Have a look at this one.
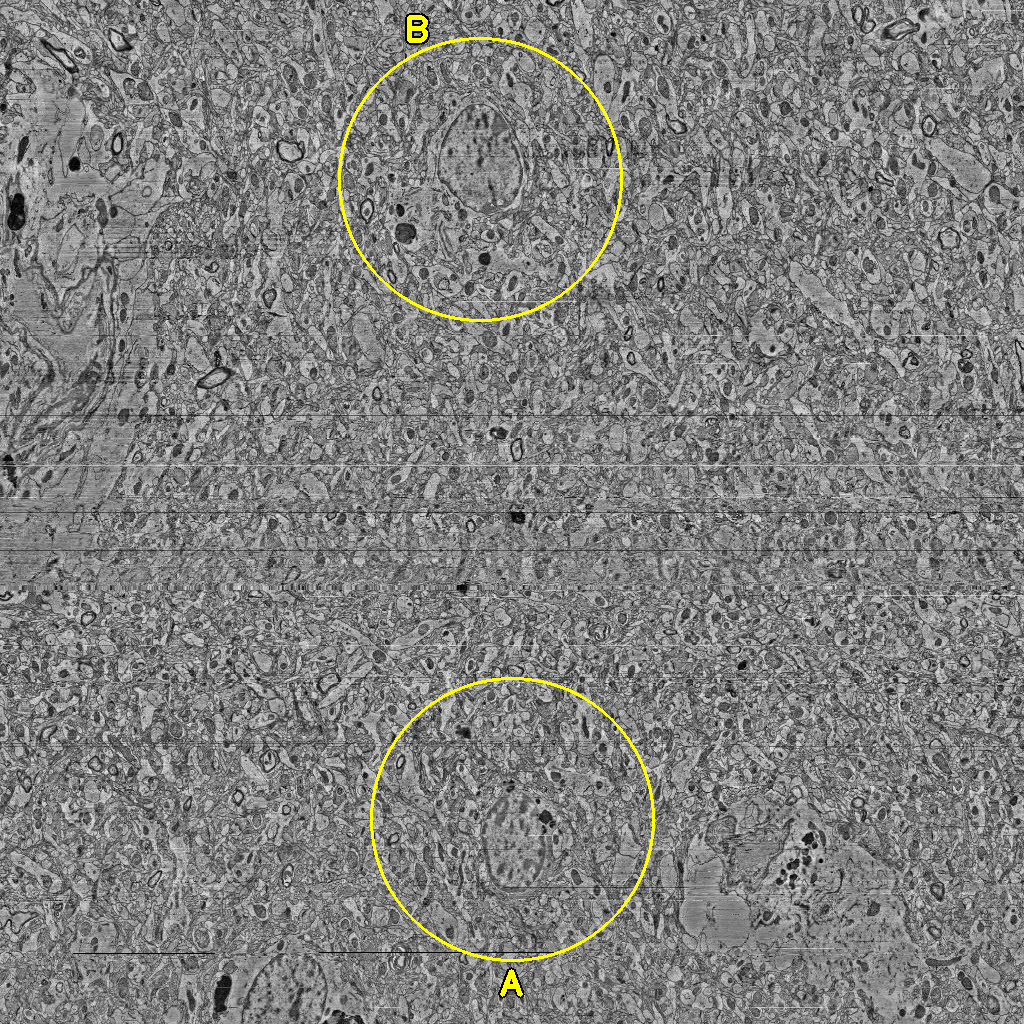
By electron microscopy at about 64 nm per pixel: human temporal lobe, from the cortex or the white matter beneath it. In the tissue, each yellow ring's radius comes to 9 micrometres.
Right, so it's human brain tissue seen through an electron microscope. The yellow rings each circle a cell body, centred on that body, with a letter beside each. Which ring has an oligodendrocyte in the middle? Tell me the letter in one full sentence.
That kind of cell is sitting in the middle of ring A there.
